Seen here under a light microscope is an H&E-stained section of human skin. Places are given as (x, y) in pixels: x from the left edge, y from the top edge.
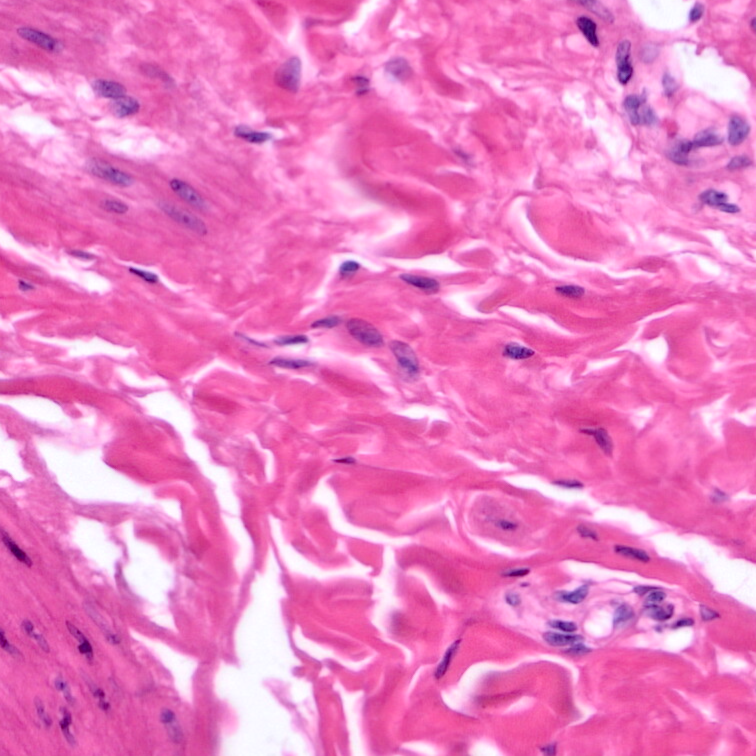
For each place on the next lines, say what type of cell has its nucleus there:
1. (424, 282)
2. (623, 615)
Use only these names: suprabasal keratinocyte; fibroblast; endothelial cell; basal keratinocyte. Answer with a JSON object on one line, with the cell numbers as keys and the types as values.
{"1": "fibroblast", "2": "endothelial cell"}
